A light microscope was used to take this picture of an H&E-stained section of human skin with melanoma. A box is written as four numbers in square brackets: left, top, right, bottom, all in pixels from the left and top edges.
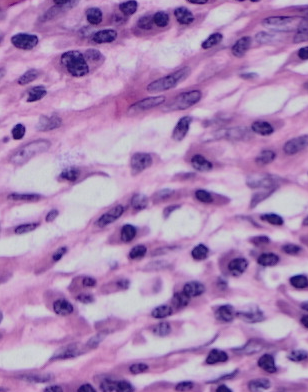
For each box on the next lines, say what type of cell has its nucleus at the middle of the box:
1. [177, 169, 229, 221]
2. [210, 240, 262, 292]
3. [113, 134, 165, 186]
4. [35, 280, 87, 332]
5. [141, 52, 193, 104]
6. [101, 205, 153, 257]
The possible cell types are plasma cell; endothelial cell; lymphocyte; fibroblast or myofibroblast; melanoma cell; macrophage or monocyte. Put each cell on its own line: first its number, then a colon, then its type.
1: plasma cell
2: plasma cell
3: macrophage or monocyte
4: plasma cell
5: endothelial cell
6: plasma cell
